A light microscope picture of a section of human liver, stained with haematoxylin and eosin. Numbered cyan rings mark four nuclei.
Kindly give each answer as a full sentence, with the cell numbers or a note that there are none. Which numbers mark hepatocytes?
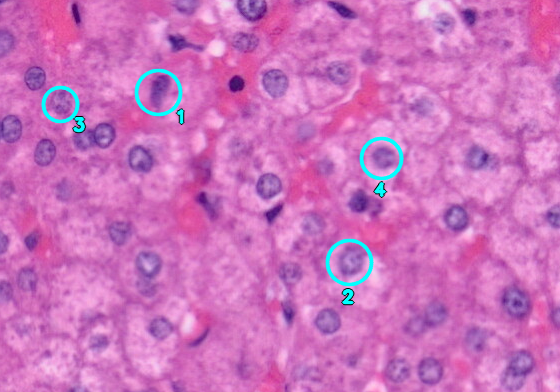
The cells to which the numbers 2, 3 and 4 refer are hepatocytes.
